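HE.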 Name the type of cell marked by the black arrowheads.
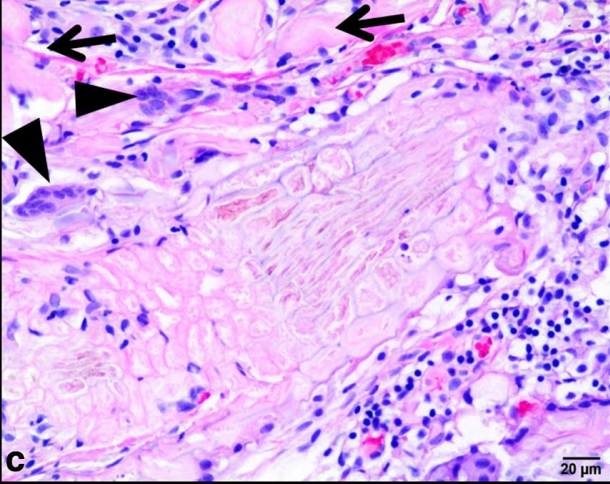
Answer: Multinucleated foreign-body type giant cells.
